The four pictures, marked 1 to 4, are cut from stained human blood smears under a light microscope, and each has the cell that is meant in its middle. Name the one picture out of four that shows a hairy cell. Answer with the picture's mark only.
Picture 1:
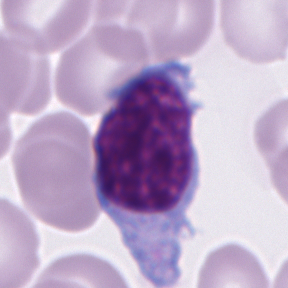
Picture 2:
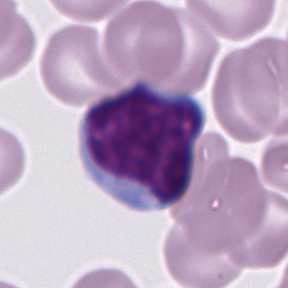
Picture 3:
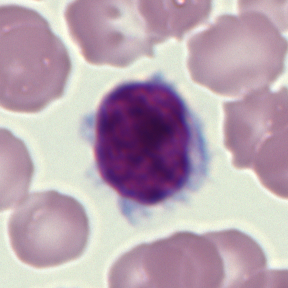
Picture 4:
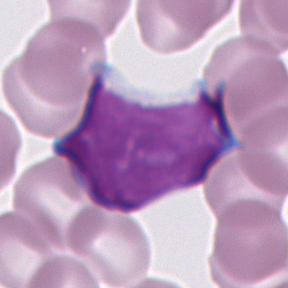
3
